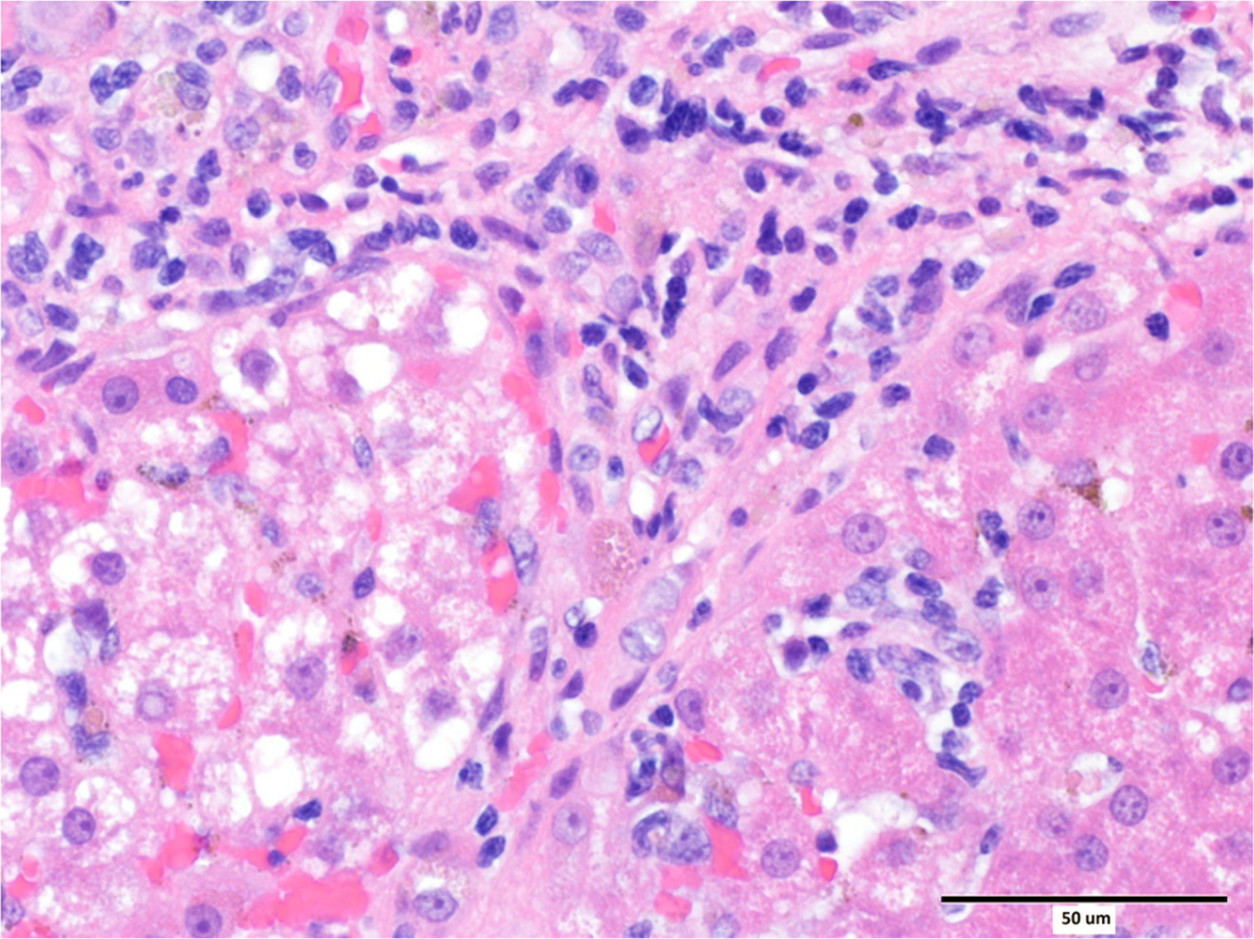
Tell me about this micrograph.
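This is liver in which islands of hepatocytes are separated by bands of fibroblasts and collagen that carry mixed inflammatory cells. The hepatocytes are large polygonal cells with round central nuclei, prominent nucleoli and pink granular cytoplasm, and many of those on the left are filled with clear vacuoles. The bands between them hold spindle-shaped cells with elongated dark nuclei in pale pink fibrous material, together with many smaller round cells with dense dark nuclei. Bright pink red blood cells lie in the spaces between hepatocytes, and small brown pigment granules are scattered throughout.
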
